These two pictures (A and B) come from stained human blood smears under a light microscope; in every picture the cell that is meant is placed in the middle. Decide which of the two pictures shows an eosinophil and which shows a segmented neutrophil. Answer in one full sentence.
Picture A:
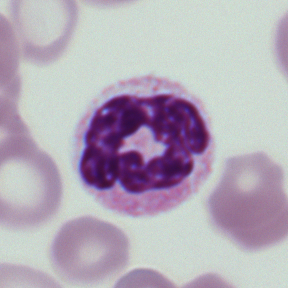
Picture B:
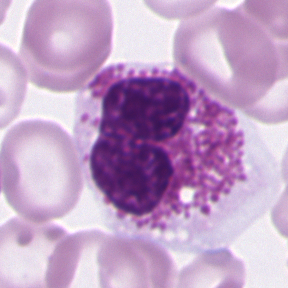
The cell in picture A is a segmented neutrophil, and the one in picture B is an eosinophil.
